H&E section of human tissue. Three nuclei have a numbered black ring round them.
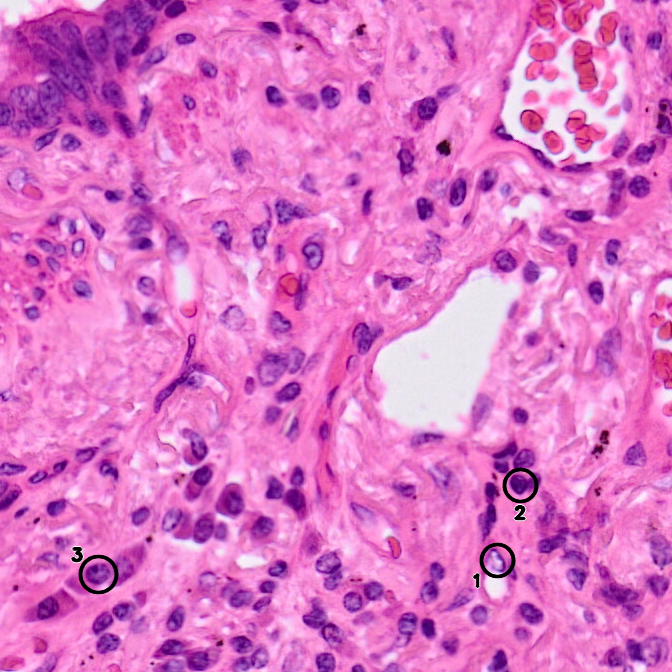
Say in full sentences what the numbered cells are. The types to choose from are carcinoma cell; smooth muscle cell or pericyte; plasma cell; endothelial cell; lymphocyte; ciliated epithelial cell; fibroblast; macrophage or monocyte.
Cell 1 is an endothelial cell, cell 2 is a lymphocyte and cell 3 is a plasma cell.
